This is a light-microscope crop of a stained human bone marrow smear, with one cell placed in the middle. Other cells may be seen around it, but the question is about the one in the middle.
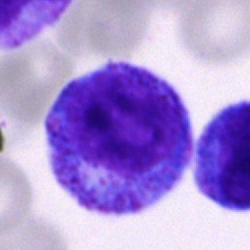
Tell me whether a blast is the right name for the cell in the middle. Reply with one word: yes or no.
no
